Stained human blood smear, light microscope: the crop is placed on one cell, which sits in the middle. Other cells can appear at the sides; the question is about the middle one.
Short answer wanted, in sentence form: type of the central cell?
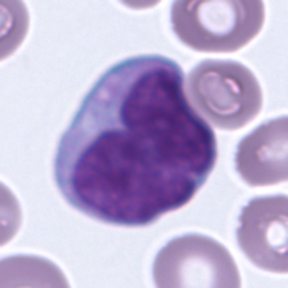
To answer, the cell in the center of the crop is an atypical promyelocyte.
